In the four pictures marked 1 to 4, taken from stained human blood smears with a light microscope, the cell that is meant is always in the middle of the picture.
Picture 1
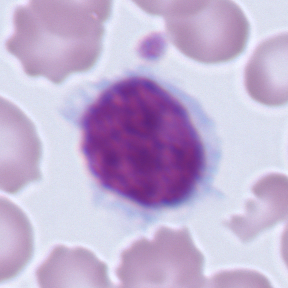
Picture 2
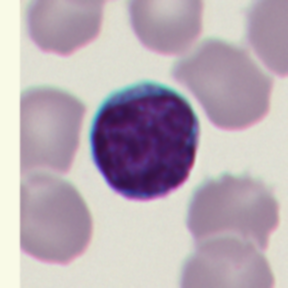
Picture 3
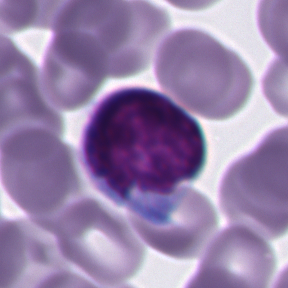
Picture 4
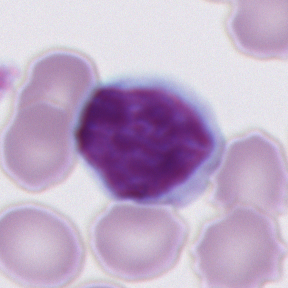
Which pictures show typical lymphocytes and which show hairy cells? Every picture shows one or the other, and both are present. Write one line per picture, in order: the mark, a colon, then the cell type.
1: hairy cell
2: typical lymphocyte
3: typical lymphocyte
4: typical lymphocyte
